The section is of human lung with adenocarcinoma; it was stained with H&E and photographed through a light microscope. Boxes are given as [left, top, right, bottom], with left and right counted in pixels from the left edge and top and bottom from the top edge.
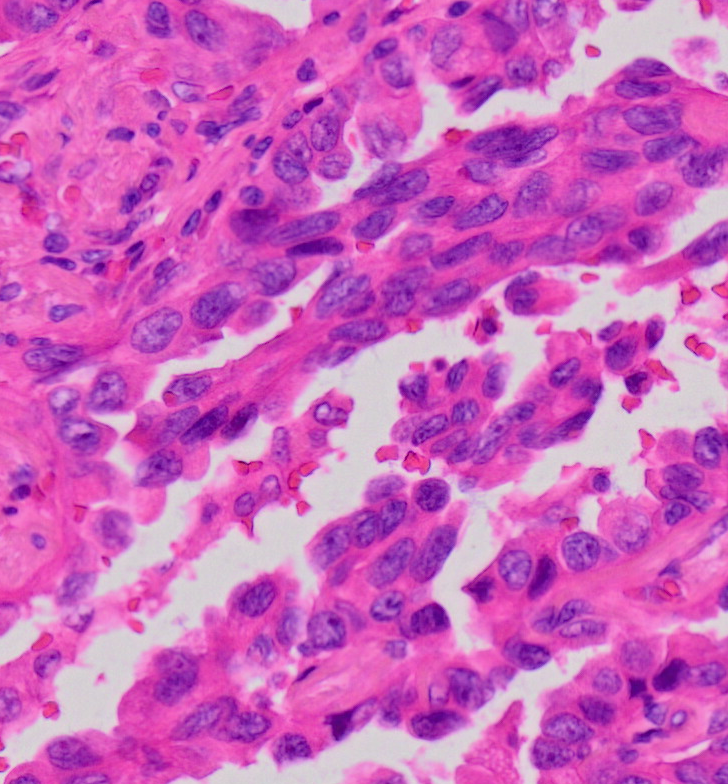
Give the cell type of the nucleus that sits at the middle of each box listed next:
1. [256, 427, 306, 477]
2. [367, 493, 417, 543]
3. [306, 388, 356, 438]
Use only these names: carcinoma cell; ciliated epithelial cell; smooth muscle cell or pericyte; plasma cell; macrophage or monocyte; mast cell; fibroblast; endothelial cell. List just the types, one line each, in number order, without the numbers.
macrophage or monocyte
carcinoma cell
macrophage or monocyte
